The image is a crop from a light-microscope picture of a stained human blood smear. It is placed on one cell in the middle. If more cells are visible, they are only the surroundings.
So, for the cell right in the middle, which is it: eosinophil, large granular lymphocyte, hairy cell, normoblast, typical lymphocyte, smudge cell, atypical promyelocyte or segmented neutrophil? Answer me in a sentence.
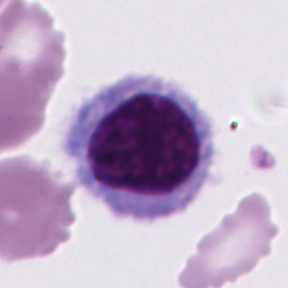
The cell at the middle of the frame should be recorded as a hairy cell.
